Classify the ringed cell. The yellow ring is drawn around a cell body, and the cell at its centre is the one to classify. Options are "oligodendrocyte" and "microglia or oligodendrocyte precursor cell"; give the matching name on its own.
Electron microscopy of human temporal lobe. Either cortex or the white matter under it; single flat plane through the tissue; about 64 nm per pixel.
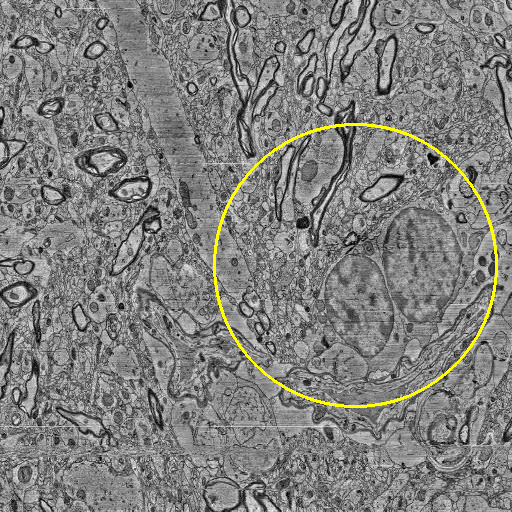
oligodendrocyte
